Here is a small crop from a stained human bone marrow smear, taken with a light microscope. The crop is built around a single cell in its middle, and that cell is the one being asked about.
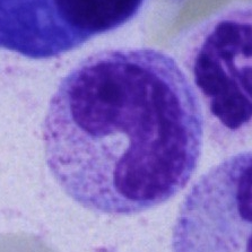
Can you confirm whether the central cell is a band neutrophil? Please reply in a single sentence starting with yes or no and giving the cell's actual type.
Yes, the cell in the middle is rightly called a band neutrophil.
